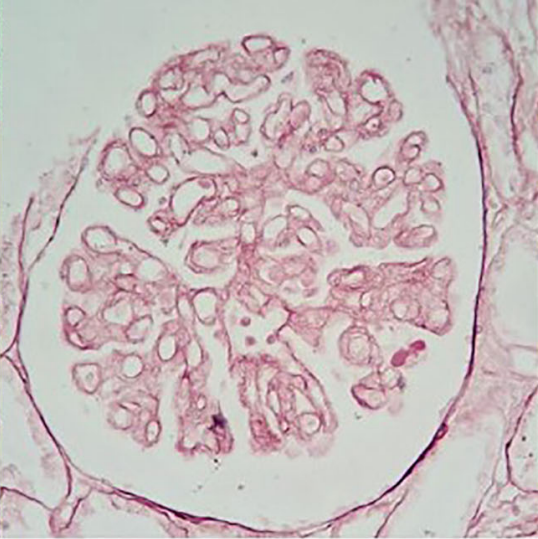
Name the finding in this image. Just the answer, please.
Extensive double contours of the glomerular basement membrane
